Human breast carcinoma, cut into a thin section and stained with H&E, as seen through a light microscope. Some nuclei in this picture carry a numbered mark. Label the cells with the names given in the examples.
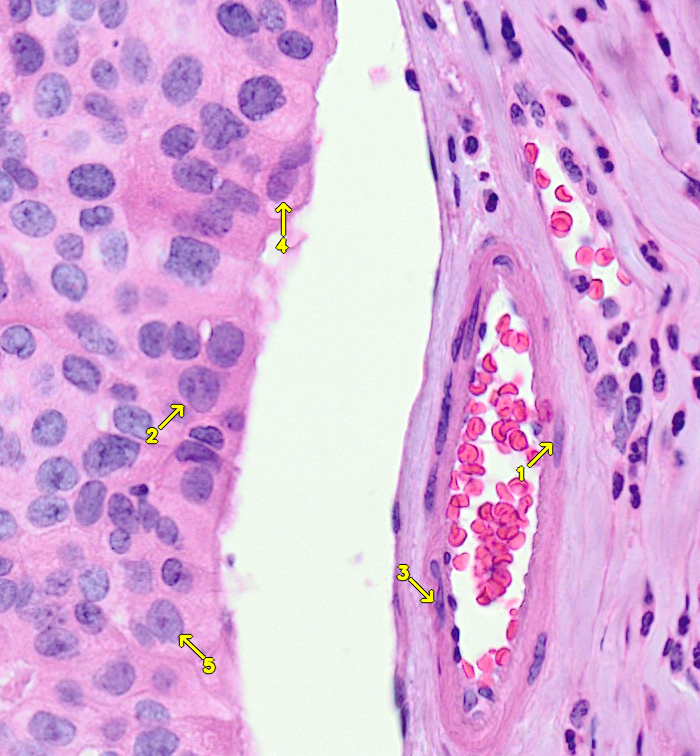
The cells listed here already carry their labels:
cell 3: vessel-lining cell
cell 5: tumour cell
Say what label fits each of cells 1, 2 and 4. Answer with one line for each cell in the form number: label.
1: vessel-lining cell
2: tumour cell
4: tumour cell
